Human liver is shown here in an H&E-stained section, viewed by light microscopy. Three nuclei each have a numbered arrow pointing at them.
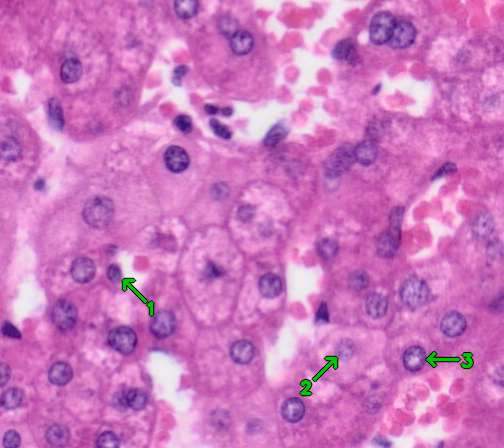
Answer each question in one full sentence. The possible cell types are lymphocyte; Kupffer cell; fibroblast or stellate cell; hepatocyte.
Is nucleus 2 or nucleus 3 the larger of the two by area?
Nucleus 3 is the larger one, covering about 1.5 times the area of nucleus 2.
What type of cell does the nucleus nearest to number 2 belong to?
The cell nearest to number 2 is a fibroblast or stellate cell.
